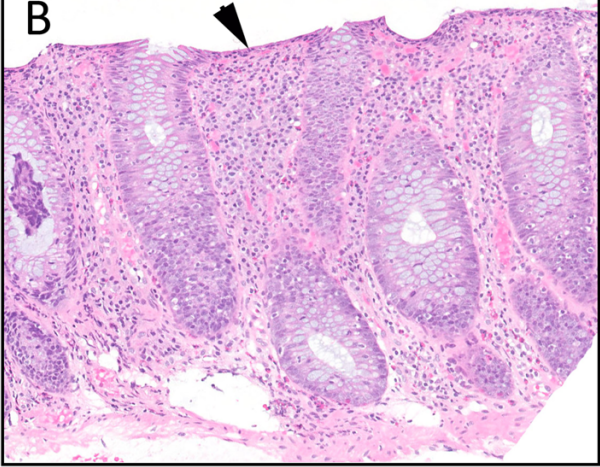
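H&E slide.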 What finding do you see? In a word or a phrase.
intact crypt architecture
